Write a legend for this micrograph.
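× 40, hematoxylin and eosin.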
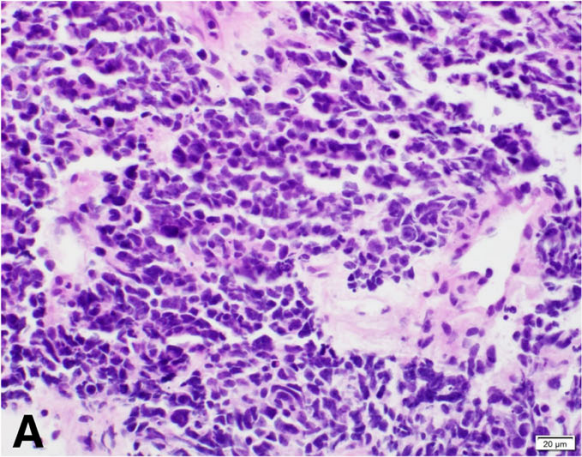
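Cellular neoplasm composed of sheets of round cells with dark, hyperchromatic nuclei and scant cytoplasm. Nuclei vary in size and shape and are crowded together. Thin pale pink stromal bands with small vessels run between the cell sheets.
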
